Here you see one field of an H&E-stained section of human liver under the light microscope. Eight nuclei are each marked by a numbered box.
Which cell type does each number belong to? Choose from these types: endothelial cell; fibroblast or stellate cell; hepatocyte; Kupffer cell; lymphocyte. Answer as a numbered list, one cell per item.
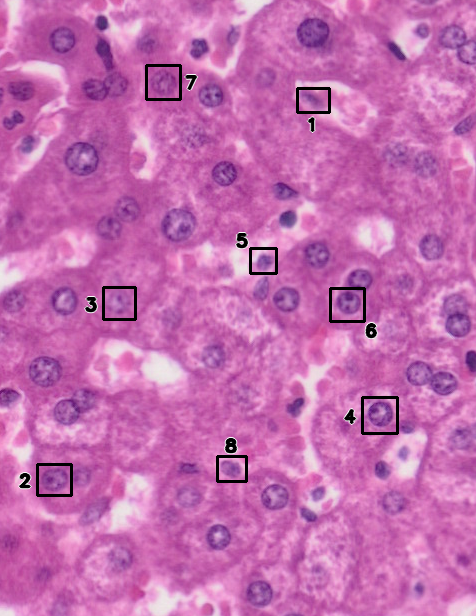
1. Kupffer cell
2. hepatocyte
3. hepatocyte
4. hepatocyte
5. lymphocyte
6. hepatocyte
7. hepatocyte
8. lymphocyte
